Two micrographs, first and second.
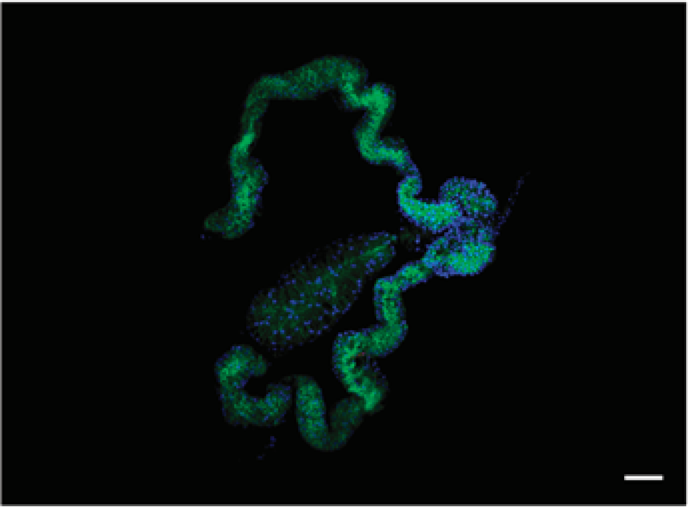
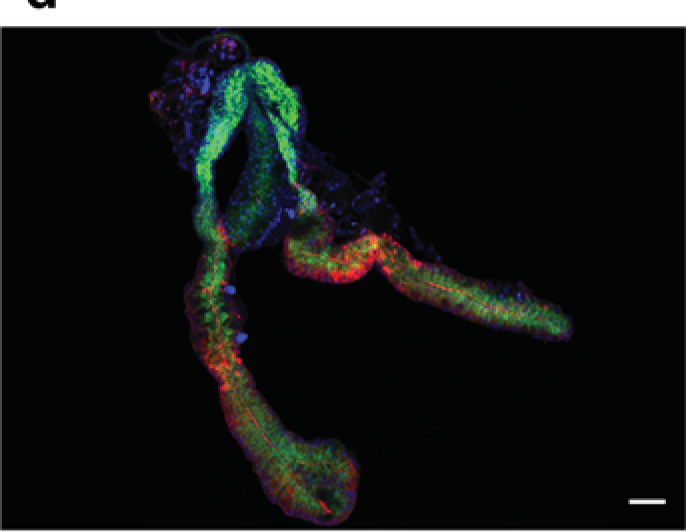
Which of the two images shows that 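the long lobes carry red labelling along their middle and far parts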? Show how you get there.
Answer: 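First image: the lobes show only green and blue, with no red. Second image: red labelling runs along the middle and ends of the long lobes. That points to this answer: the second image.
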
